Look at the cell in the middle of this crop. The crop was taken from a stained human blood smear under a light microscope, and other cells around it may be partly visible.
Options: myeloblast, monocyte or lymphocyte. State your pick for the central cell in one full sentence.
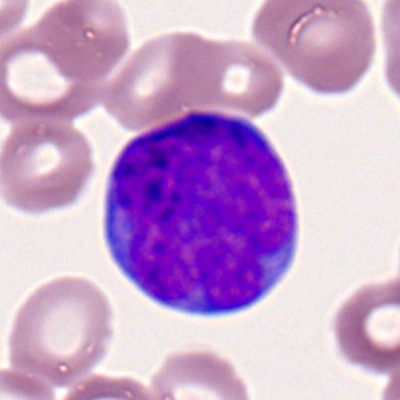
The cell centred in this crop is categorized as a myeloblast.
